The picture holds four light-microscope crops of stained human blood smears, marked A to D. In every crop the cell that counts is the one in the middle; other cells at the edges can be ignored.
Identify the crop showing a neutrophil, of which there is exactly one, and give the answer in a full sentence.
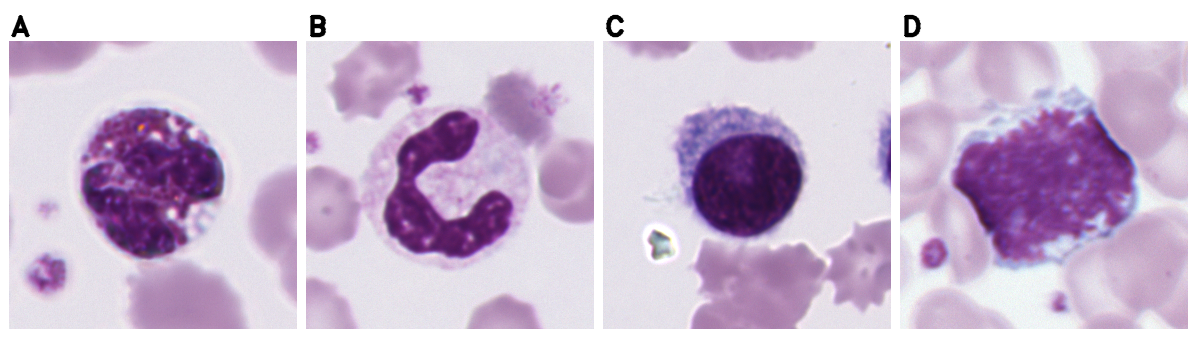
Of the crops given, a neutrophil is found in crop B.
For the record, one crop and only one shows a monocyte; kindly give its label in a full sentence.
The cell identified as a monocyte is the one in crop D.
